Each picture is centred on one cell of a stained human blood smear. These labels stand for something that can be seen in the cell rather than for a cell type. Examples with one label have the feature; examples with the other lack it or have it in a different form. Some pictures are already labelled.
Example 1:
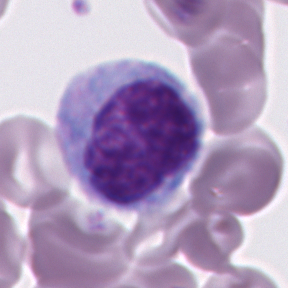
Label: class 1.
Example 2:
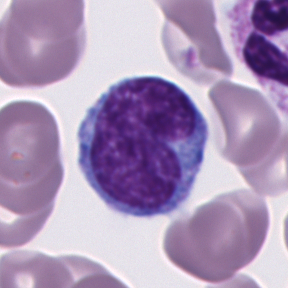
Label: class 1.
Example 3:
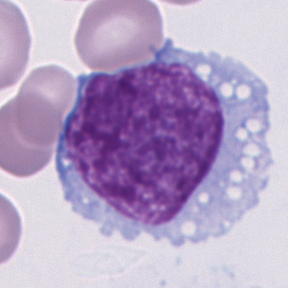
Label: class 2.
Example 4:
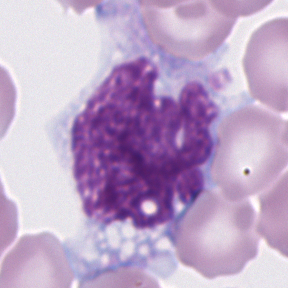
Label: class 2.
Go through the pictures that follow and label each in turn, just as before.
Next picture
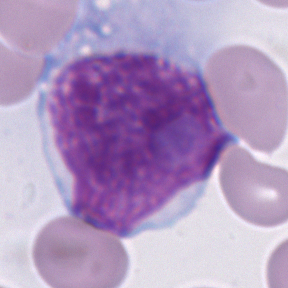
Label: class 2.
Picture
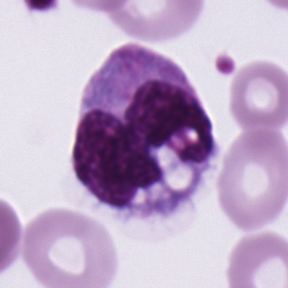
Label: class 2.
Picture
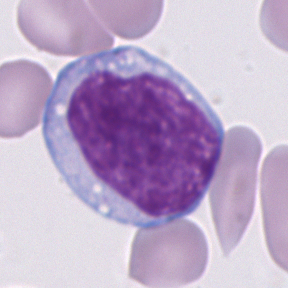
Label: class 2.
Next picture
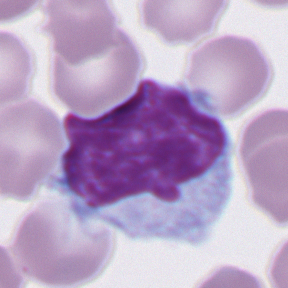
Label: class 1.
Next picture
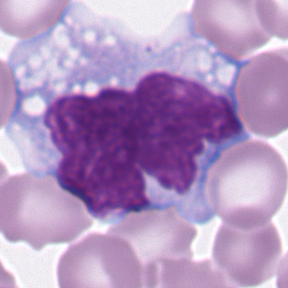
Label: class 2.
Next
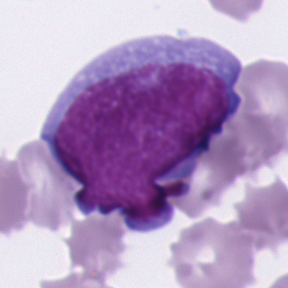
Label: class 1.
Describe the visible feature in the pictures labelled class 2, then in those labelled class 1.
class 2: vacuoles present; class 1: no vacuoles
